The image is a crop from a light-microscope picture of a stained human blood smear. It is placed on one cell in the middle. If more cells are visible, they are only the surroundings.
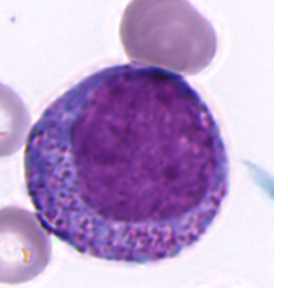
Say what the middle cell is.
promyelocyte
